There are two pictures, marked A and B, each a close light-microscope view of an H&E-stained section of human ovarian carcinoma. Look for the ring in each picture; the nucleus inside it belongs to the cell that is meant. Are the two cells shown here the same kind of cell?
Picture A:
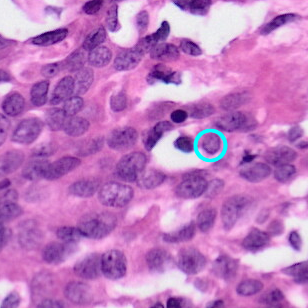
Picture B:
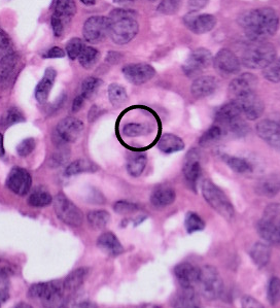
yes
